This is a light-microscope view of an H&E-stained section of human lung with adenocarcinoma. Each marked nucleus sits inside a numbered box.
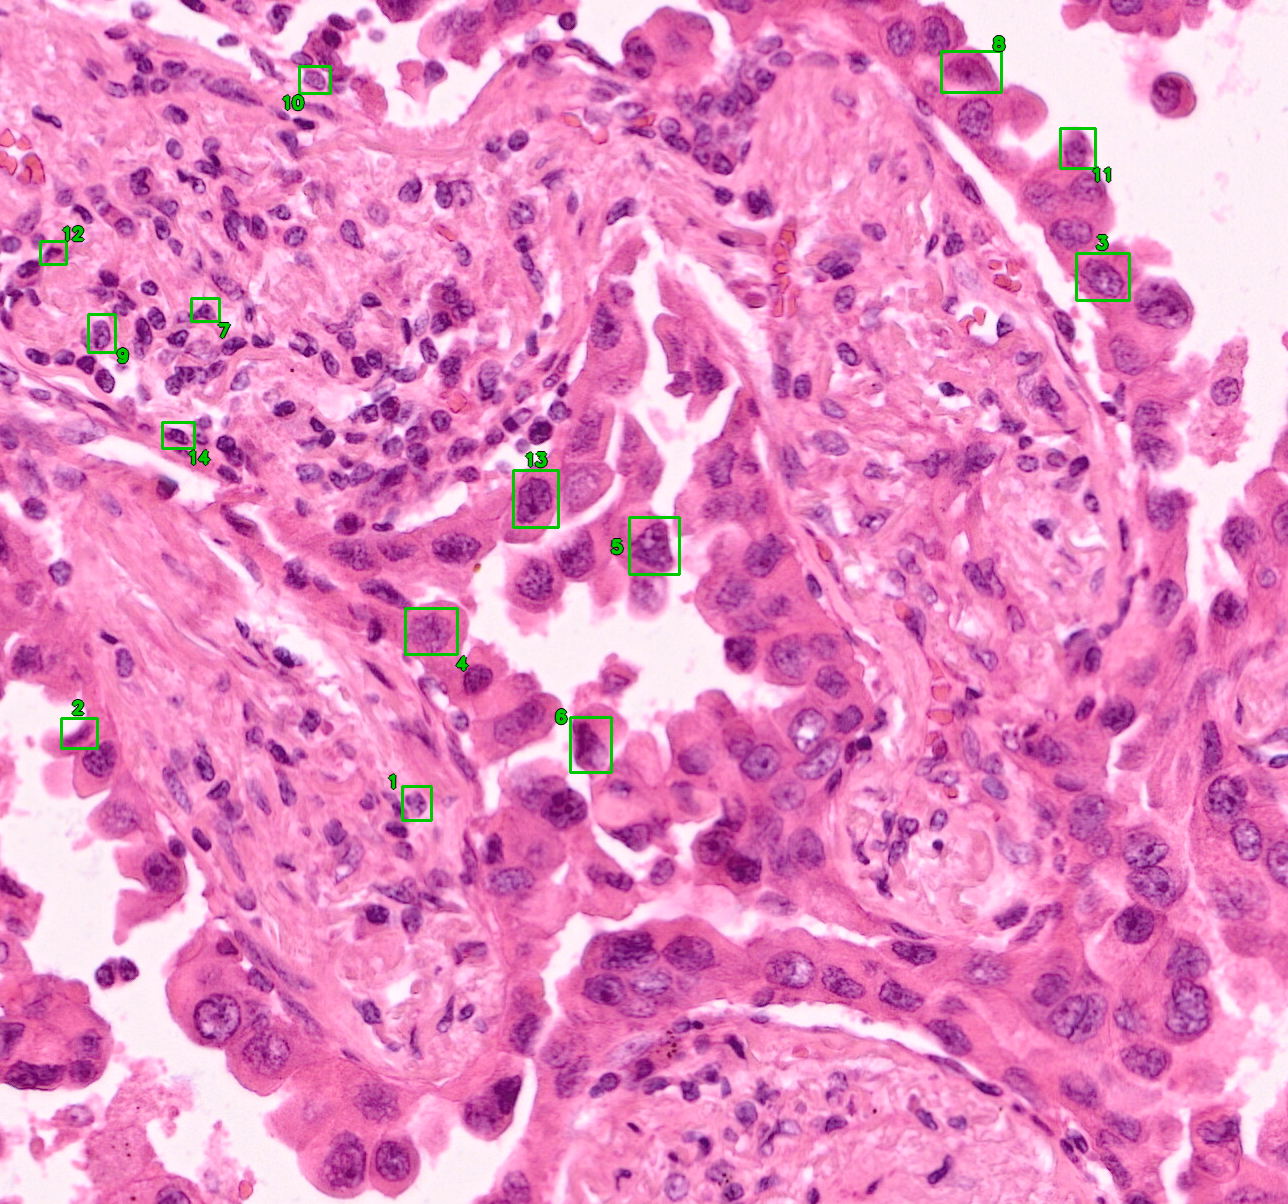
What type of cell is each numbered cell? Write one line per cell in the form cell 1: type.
cell 1: lymphocyte
cell 2: carcinoma cell
cell 3: carcinoma cell
cell 4: carcinoma cell
cell 5: carcinoma cell
cell 6: carcinoma cell
cell 7: lymphocyte
cell 8: carcinoma cell
cell 9: lymphocyte
cell 10: lymphocyte
cell 11: carcinoma cell
cell 12: plasma cell
cell 13: carcinoma cell
cell 14: lymphocyte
